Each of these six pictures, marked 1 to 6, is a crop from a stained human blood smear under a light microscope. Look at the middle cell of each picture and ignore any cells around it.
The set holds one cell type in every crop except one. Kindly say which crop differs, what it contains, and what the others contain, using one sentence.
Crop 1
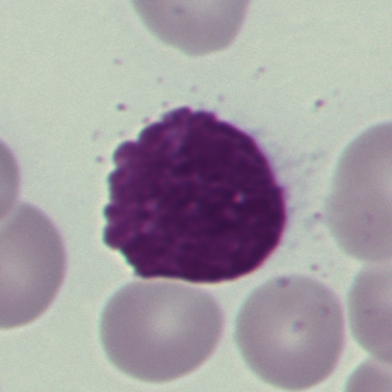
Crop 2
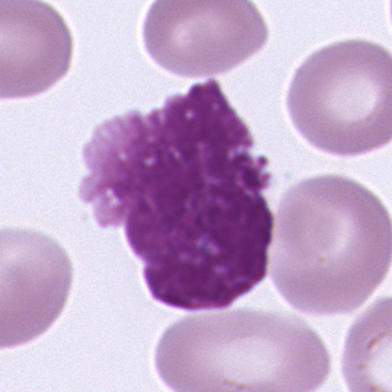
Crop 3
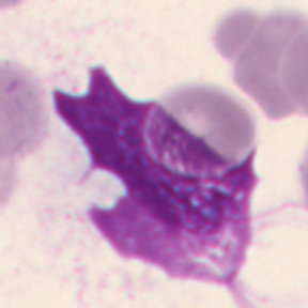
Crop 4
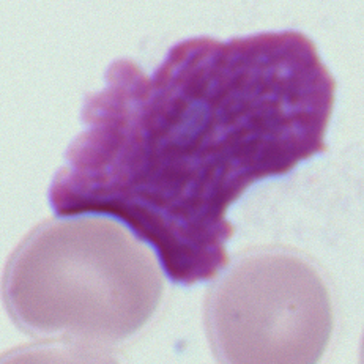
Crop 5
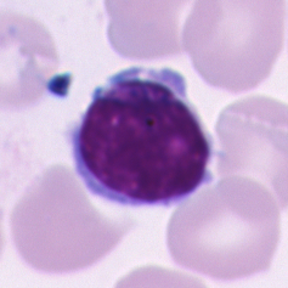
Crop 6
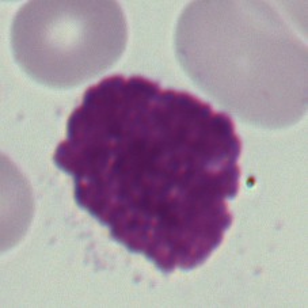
Only crop 5 differs, being a typical lymphocyte, while the others all show smudge cells.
